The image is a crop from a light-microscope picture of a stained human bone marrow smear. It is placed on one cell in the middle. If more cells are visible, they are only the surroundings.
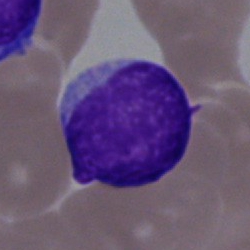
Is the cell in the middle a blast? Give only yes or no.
yes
